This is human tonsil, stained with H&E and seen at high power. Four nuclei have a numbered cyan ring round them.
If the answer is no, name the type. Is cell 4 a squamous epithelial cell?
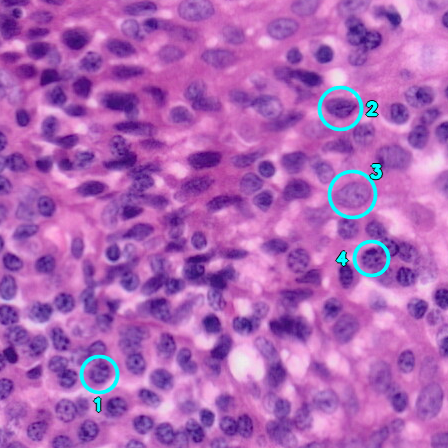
No, it is a plasma cell.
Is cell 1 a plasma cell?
Yes.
